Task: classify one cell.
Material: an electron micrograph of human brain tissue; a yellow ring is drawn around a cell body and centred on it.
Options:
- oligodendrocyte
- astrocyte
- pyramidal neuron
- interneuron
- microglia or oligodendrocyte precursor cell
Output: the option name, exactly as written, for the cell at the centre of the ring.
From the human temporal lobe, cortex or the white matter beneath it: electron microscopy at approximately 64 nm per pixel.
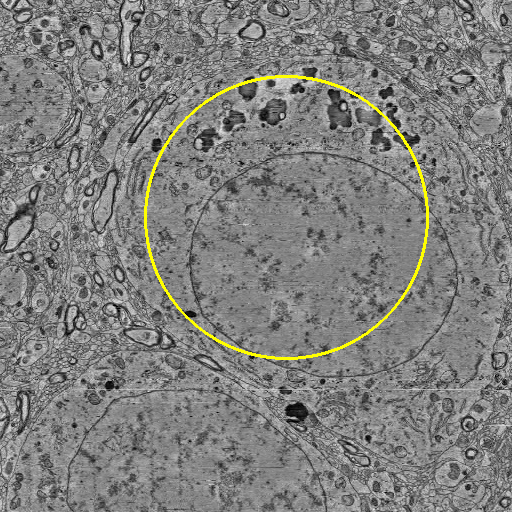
pyramidal neuron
